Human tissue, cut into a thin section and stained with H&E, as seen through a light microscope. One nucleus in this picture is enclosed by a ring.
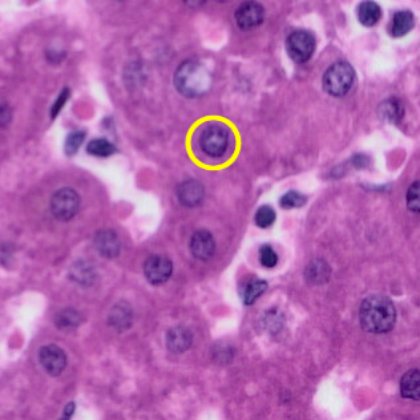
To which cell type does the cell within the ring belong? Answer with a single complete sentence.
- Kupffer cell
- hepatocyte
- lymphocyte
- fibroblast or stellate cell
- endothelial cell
Cell type answer for this item: the cell within the ring is a hepatocyte.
